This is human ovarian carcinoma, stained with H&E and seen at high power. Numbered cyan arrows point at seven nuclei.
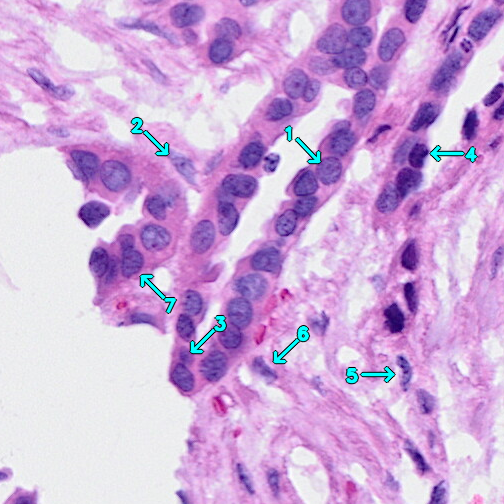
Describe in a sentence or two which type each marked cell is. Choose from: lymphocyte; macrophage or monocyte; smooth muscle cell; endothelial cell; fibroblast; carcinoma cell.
Cells 1, 3, 4 and 7 are carcinoma cells. Cells 2 and 6 are fibroblasts. Cell 5 is a macrophage or monocyte.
